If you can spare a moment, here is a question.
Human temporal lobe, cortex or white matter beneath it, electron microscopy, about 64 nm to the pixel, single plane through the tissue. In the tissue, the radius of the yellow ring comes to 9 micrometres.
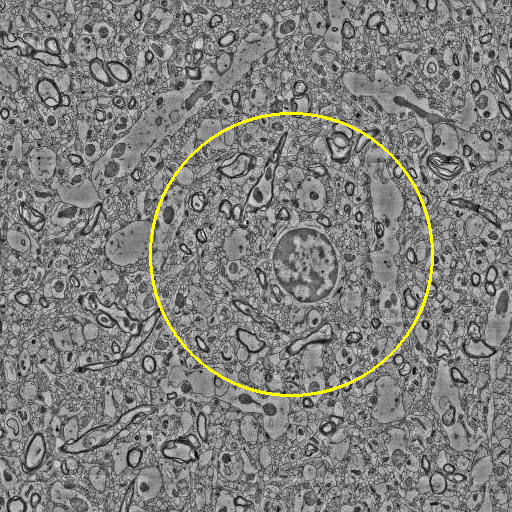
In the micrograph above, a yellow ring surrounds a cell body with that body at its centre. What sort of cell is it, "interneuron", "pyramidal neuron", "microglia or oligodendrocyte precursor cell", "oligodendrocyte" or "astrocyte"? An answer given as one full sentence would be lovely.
Centred inside the yellow ring, the cell body shown belongs to a microglial cell or oligodendrocyte precursor cell in this micrograph.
